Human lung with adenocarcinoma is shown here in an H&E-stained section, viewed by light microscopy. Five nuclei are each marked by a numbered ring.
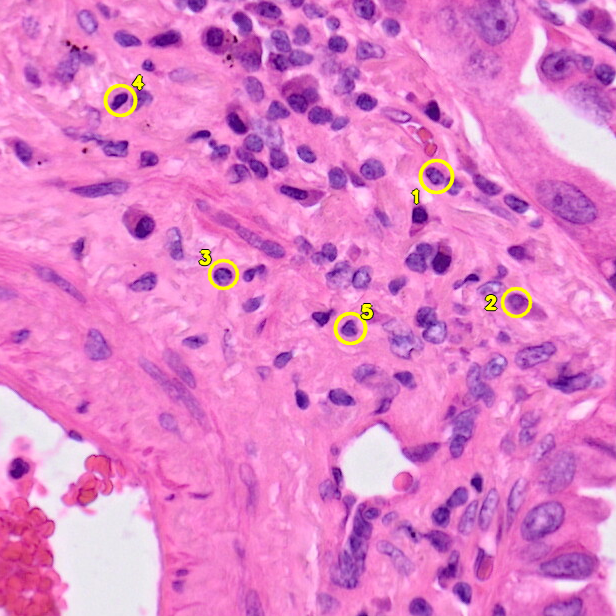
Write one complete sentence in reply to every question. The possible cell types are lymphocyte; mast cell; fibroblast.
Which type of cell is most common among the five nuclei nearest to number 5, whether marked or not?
Fibroblasts make up most of the five nuclei closest to number 5.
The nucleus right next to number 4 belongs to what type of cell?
Number 4 lies closest to the nucleus of a lymphocyte.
